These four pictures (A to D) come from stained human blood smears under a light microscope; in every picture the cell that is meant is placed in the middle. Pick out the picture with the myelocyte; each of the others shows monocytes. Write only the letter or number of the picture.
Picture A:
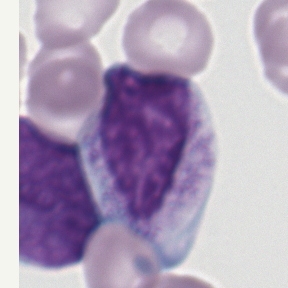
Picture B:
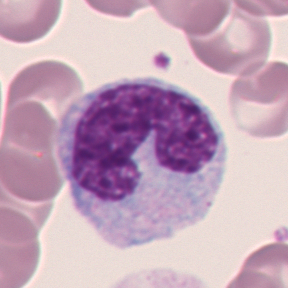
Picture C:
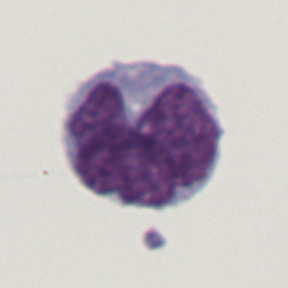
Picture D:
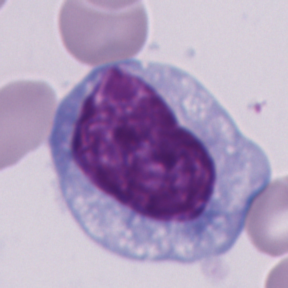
A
